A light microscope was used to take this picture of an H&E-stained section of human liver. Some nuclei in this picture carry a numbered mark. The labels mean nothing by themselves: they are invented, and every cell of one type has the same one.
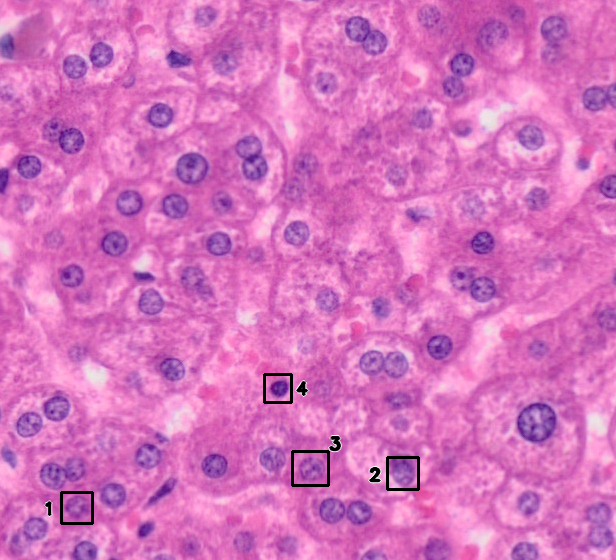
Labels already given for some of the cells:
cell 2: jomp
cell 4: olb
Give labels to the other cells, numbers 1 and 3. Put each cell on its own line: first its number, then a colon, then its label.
1: jomp
3: jomp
